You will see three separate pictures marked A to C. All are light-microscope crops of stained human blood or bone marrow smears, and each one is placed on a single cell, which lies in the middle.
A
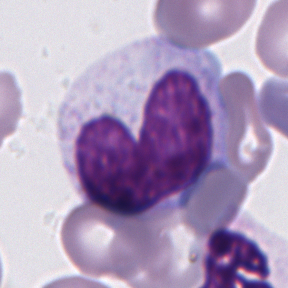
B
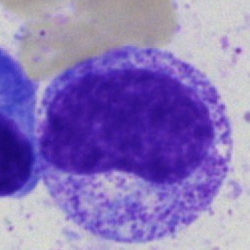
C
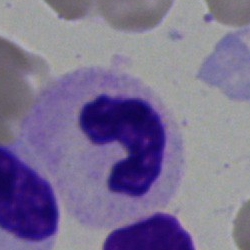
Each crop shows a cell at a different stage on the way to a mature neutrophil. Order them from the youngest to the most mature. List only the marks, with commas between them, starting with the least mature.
B, A, C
